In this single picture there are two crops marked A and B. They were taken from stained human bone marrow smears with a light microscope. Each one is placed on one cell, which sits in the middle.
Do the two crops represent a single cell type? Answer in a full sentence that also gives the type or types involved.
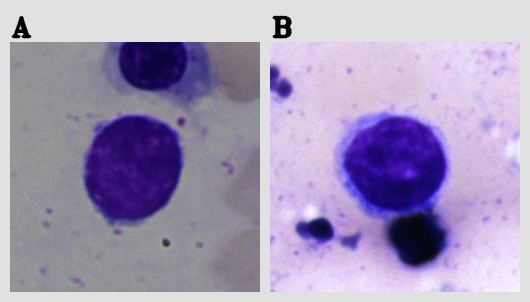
Yes, for both crops, the central cells are lymphocytes.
